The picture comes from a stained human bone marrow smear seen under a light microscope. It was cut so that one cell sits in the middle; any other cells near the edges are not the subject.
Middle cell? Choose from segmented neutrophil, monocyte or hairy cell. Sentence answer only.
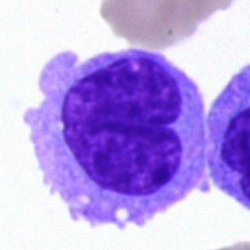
Present in the middle of the crop is a monocyte.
